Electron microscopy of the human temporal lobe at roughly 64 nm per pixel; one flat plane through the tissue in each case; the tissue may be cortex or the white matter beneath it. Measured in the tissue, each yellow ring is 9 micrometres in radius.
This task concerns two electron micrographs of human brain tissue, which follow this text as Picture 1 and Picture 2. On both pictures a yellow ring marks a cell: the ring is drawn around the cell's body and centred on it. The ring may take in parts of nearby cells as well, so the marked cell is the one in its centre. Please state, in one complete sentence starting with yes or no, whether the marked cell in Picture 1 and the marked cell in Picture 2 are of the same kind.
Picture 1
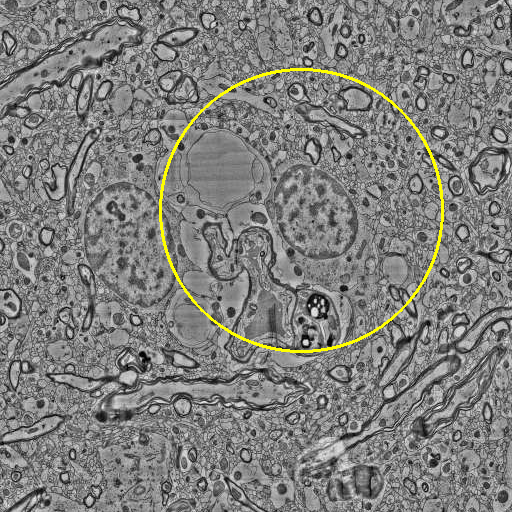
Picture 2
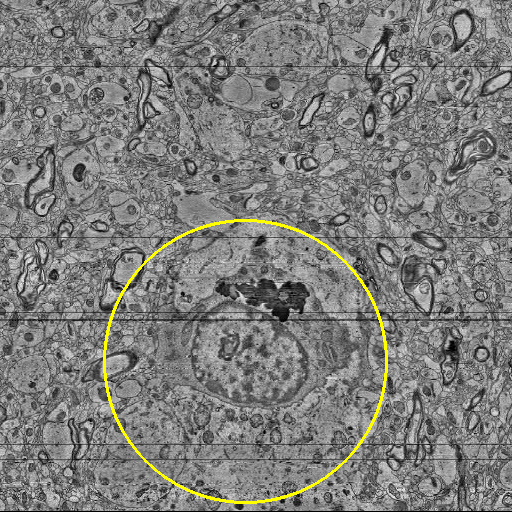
Yes, the marked cells in both pictures are of the same kind.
